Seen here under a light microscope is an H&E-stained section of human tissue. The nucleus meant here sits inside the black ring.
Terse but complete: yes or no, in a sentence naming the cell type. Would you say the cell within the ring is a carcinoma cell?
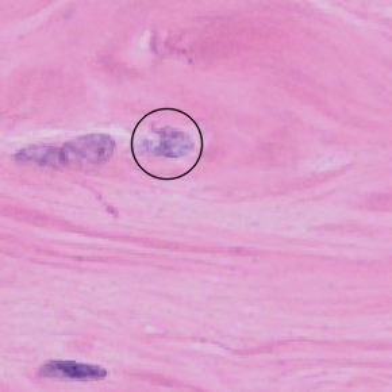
No, the cell within the ring represents a fibroblast and does not represent a carcinoma cell.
